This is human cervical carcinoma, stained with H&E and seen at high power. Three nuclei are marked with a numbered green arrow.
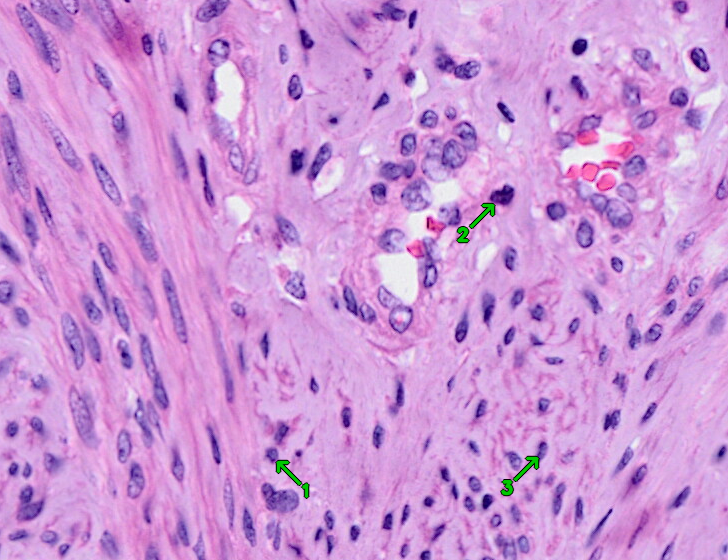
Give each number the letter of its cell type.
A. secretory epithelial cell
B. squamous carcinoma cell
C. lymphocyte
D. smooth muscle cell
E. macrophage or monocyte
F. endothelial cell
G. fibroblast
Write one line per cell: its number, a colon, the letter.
1: D
2: C
3: D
